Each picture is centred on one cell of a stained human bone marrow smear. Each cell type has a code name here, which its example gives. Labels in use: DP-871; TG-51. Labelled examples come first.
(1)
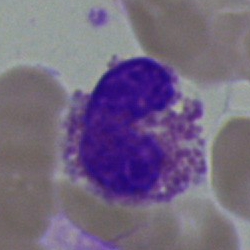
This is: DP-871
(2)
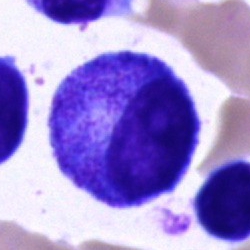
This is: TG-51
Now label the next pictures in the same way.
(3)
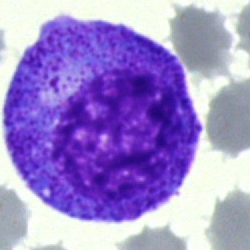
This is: TG-51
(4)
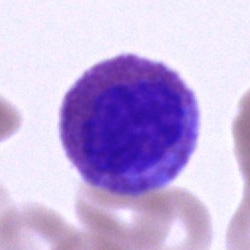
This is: DP-871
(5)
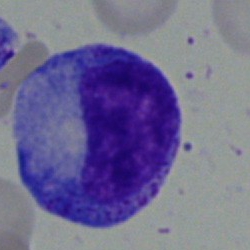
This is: TG-51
